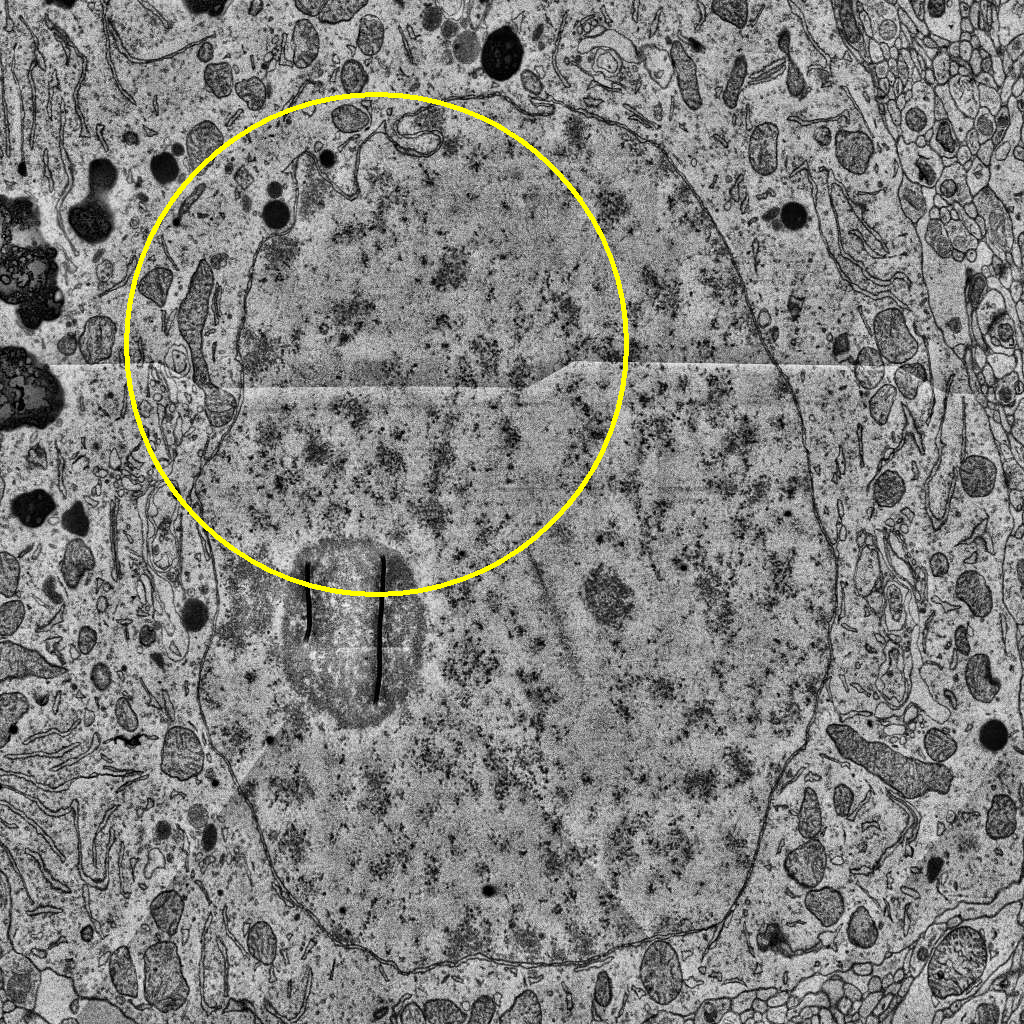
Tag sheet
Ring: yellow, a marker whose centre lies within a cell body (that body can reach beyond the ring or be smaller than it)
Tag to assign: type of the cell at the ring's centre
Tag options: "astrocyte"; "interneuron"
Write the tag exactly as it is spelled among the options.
interneuron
